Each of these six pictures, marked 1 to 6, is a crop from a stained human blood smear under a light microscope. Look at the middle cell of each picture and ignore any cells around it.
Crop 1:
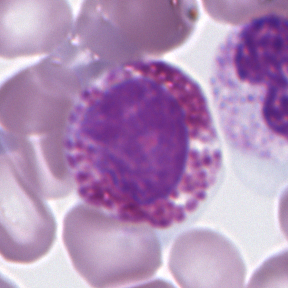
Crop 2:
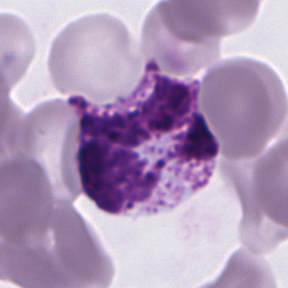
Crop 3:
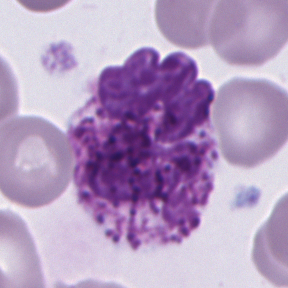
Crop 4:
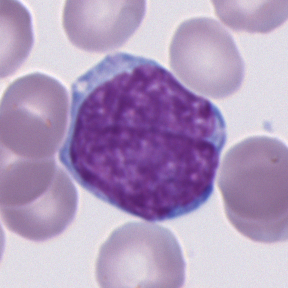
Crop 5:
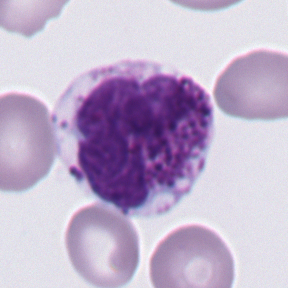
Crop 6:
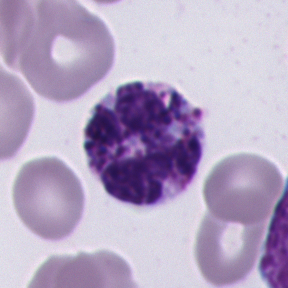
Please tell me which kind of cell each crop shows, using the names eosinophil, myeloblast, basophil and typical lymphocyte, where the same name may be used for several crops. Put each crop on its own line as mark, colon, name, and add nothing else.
1: eosinophil
2: basophil
3: basophil
4: myeloblast
5: basophil
6: basophil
